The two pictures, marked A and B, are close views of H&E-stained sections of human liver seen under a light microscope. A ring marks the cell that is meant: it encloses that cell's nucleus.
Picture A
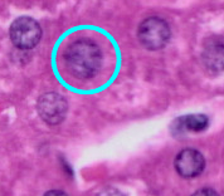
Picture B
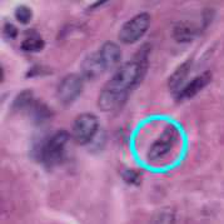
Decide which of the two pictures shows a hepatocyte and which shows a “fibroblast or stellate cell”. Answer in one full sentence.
Picture A shows a hepatocyte and picture B shows a “fibroblast or stellate cell”.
